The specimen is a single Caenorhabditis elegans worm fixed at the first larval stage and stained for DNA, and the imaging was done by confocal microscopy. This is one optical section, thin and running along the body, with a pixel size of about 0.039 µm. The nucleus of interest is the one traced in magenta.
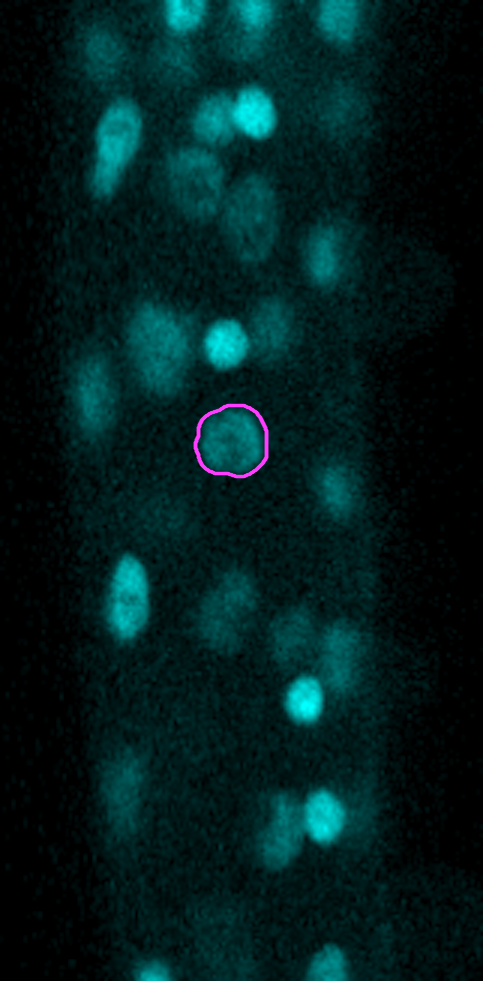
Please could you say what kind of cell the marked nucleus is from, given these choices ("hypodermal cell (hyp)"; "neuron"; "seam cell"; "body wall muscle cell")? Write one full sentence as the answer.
The marked cell is a seam cell.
